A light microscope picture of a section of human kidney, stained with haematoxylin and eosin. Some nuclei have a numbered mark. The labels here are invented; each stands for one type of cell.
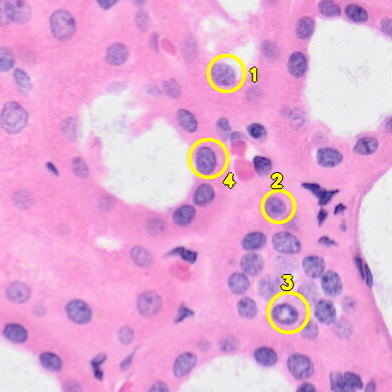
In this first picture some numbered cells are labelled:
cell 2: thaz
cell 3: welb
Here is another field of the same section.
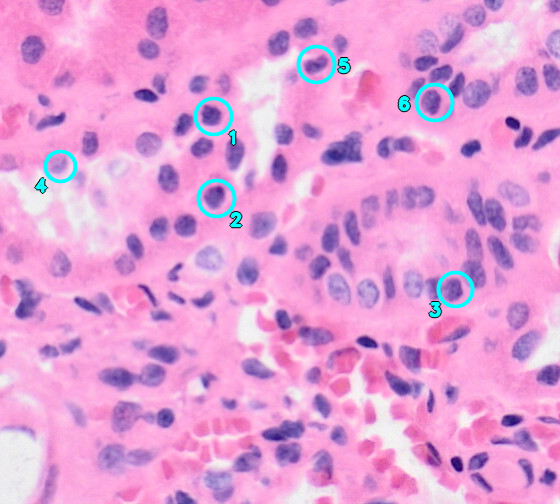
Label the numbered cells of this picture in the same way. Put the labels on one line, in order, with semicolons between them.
thaz; thaz; welb; thaz; thaz; welb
